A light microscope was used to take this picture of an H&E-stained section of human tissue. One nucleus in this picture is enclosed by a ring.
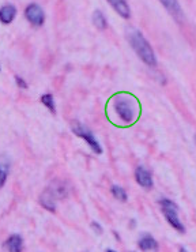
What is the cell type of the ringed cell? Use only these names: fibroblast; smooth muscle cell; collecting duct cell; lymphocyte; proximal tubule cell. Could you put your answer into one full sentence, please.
For cell typing purposes, the ringed cell is a smooth muscle cell.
